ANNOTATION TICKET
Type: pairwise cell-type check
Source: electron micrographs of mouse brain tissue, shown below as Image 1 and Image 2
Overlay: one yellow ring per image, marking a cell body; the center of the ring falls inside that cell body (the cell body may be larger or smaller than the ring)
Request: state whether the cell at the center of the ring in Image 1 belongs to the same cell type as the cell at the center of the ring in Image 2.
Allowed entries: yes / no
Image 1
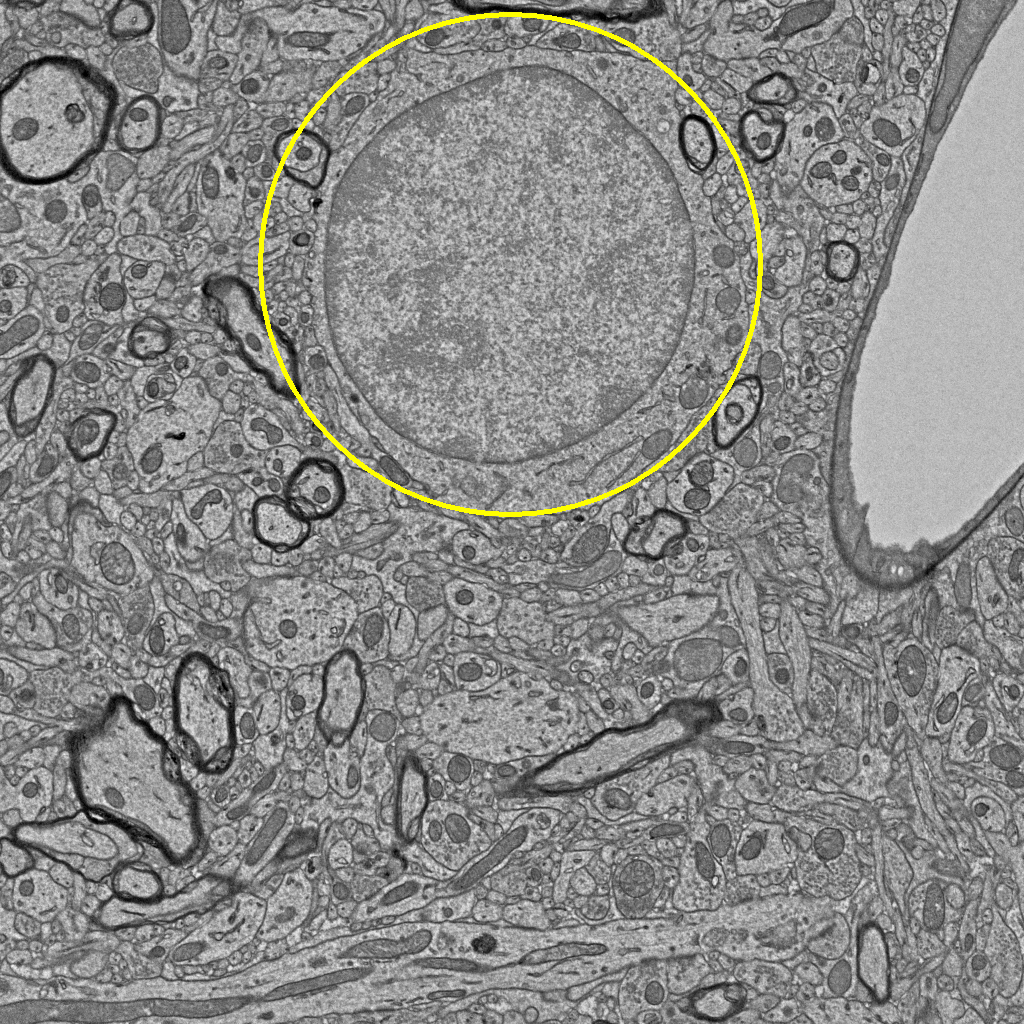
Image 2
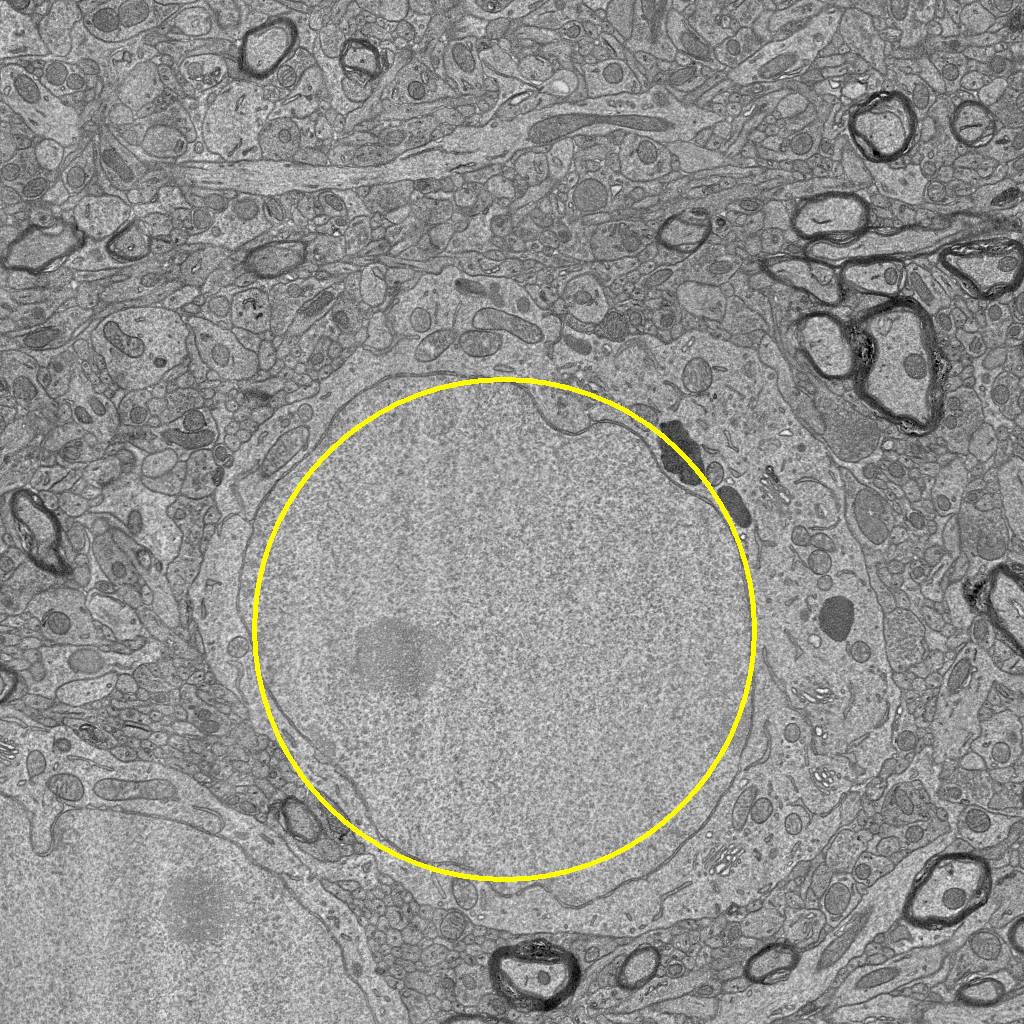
no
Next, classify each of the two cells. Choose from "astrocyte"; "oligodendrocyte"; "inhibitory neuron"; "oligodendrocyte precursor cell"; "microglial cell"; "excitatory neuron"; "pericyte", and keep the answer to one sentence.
The first picture has an oligodendrocyte at its ring centre, and the second has an excitatory neuron.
